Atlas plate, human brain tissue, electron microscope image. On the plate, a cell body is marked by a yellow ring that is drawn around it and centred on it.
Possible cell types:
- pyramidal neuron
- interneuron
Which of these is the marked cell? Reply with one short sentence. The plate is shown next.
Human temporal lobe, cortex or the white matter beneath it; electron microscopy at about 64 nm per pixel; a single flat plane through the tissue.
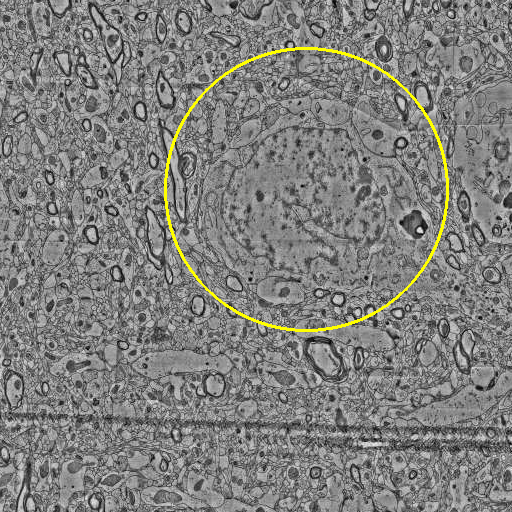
The marked cell is an interneuron.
